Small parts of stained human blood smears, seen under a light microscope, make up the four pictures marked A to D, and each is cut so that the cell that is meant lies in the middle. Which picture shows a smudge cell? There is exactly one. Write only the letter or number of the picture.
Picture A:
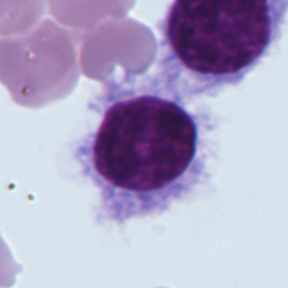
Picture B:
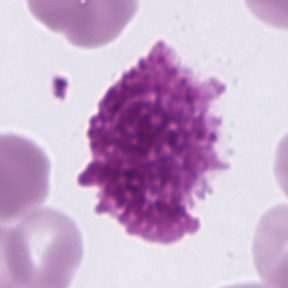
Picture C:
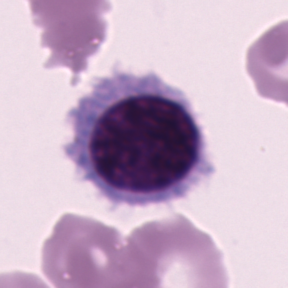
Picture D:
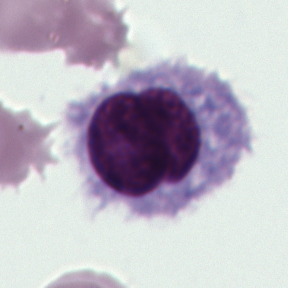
B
